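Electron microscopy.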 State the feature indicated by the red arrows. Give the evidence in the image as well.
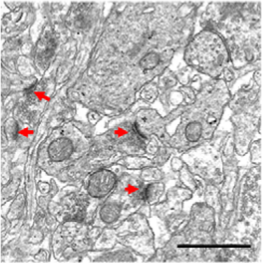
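The red arrows point at short, dark, electron-dense bands along membranes between adjacent profiles. The bands lie within densely packed neuropil with rounded profiles and mitochondria.
Synaptic junctions.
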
